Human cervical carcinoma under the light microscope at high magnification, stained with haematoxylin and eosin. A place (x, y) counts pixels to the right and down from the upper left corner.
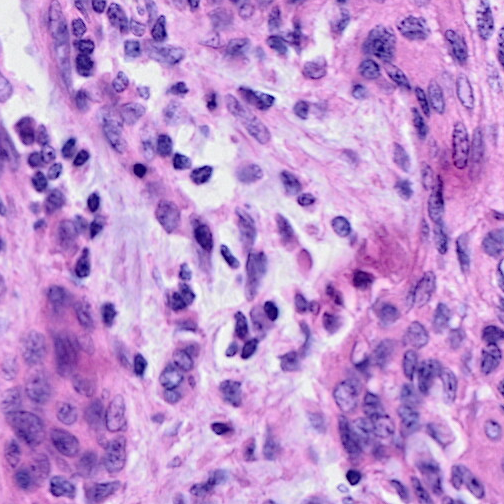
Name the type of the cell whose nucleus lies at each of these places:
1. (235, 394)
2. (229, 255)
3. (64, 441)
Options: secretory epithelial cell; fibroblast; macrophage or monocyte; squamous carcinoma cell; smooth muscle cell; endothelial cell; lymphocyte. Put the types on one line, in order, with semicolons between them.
macrophage or monocyte; lymphocyte; squamous carcinoma cell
